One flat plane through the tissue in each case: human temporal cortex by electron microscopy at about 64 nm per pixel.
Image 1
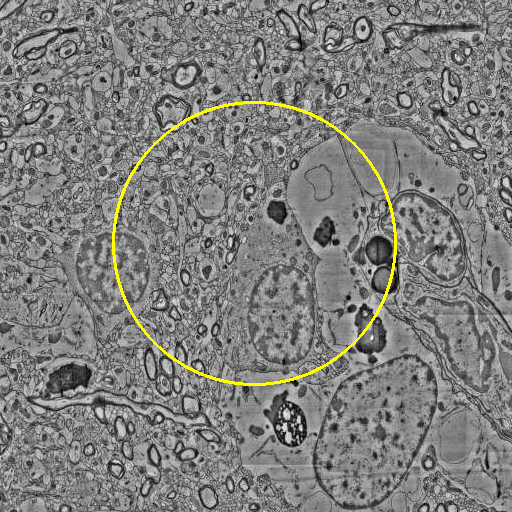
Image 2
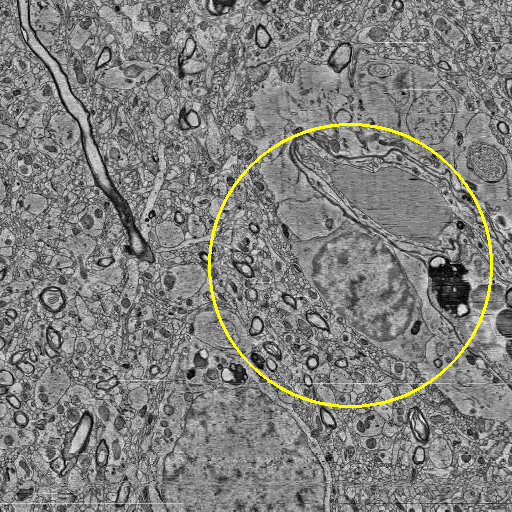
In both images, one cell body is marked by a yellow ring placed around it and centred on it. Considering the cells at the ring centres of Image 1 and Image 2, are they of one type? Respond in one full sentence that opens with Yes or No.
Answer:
Yes, a single type applies to the ring-centred cells of both Image 1 and Image 2.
